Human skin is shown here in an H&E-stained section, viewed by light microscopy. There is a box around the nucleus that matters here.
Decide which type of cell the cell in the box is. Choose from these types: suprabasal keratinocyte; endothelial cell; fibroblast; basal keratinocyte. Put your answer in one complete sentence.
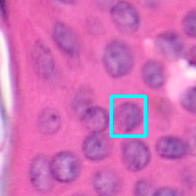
In the tissue under study, the cell in the box is a suprabasal keratinocyte.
